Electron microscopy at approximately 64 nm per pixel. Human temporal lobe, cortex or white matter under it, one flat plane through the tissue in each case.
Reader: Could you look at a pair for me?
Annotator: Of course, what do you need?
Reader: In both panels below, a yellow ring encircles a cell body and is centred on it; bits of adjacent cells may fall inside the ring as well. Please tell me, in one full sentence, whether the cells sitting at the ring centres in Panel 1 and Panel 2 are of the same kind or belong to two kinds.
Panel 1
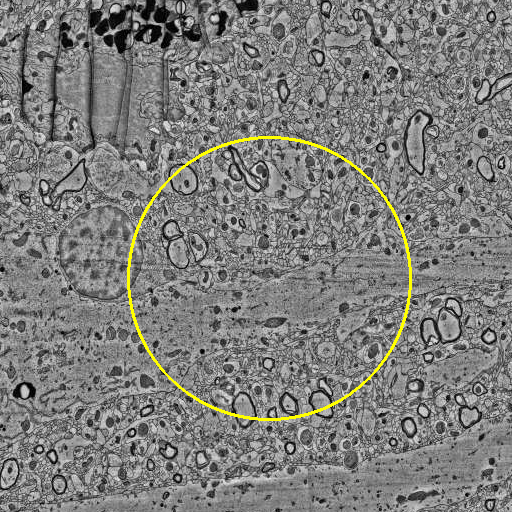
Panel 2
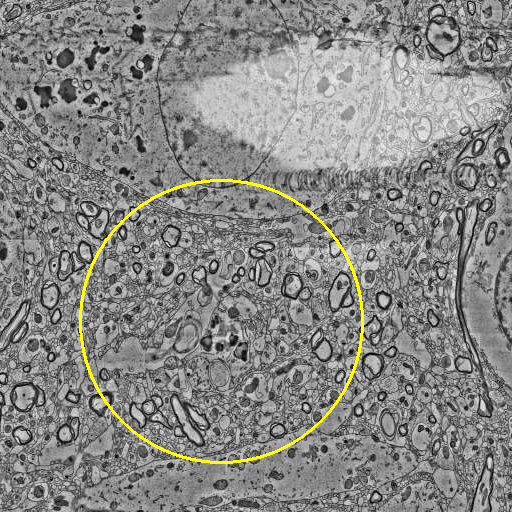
The cell at the ring's centre in Panel 1 and the one in Panel 2 are of the same kind.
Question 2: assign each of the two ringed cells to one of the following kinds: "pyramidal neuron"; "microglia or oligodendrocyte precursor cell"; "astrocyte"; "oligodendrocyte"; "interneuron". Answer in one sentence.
Each cell at the centre of a ring is a microglial cell or oligodendrocyte precursor cell.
